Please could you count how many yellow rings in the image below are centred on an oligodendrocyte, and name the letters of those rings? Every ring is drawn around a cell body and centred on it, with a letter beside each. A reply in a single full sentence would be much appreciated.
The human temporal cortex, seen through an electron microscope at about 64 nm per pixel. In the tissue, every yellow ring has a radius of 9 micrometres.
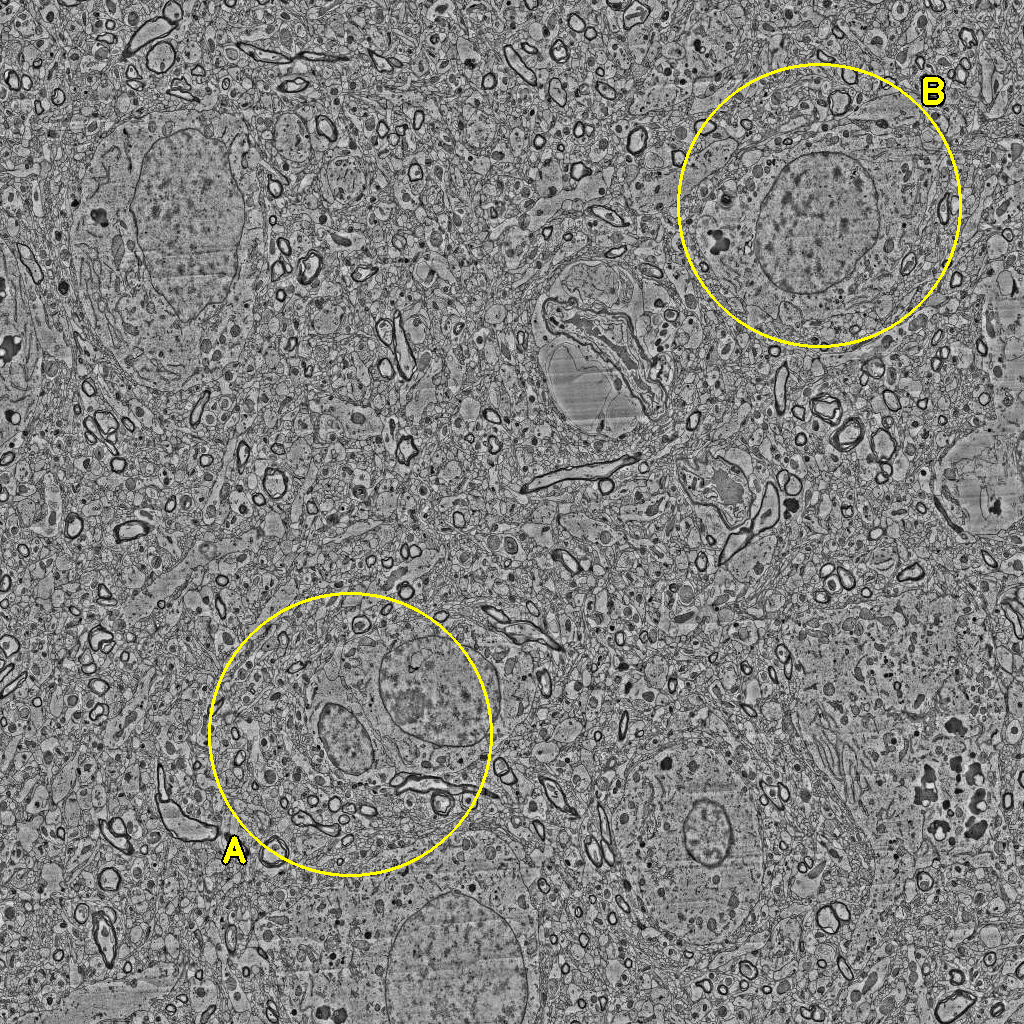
There is no ring centred on an oligodendrocyte in this micrograph, and so the count is zero.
